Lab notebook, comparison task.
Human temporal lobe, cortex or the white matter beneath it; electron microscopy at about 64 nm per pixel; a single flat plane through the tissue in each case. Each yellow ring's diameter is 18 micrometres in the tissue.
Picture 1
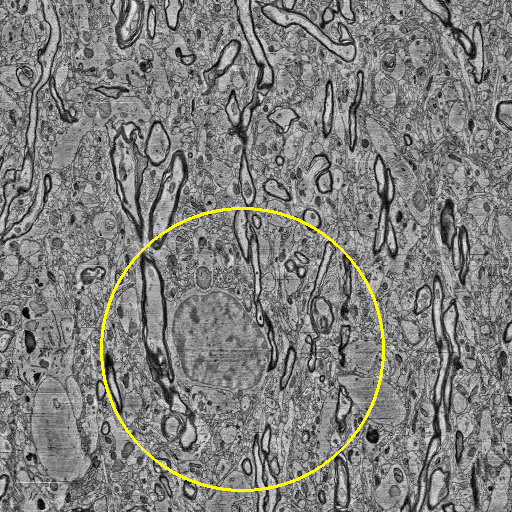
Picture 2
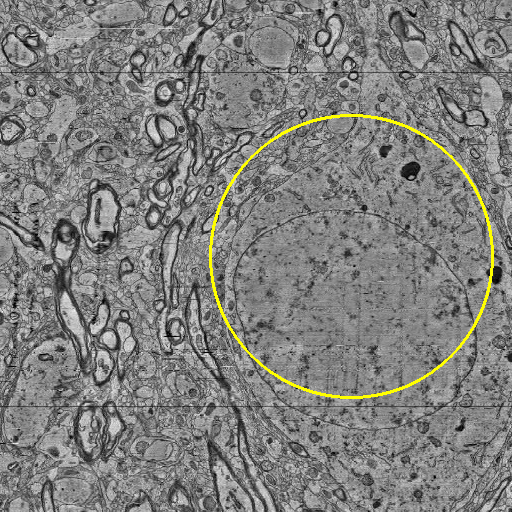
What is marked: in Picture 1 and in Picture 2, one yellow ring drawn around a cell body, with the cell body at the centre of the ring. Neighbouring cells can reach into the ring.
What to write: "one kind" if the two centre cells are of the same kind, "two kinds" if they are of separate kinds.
two kinds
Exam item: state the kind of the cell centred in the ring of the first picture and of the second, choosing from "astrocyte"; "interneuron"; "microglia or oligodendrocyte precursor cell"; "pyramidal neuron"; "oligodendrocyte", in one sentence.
The first picture shows an oligodendrocyte at the ring centre and the second shows a pyramidal neuron.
